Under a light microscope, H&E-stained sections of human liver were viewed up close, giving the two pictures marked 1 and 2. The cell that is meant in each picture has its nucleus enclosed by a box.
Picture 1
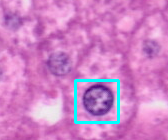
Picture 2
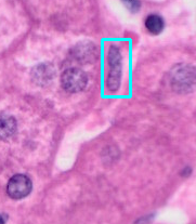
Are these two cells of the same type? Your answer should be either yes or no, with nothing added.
no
